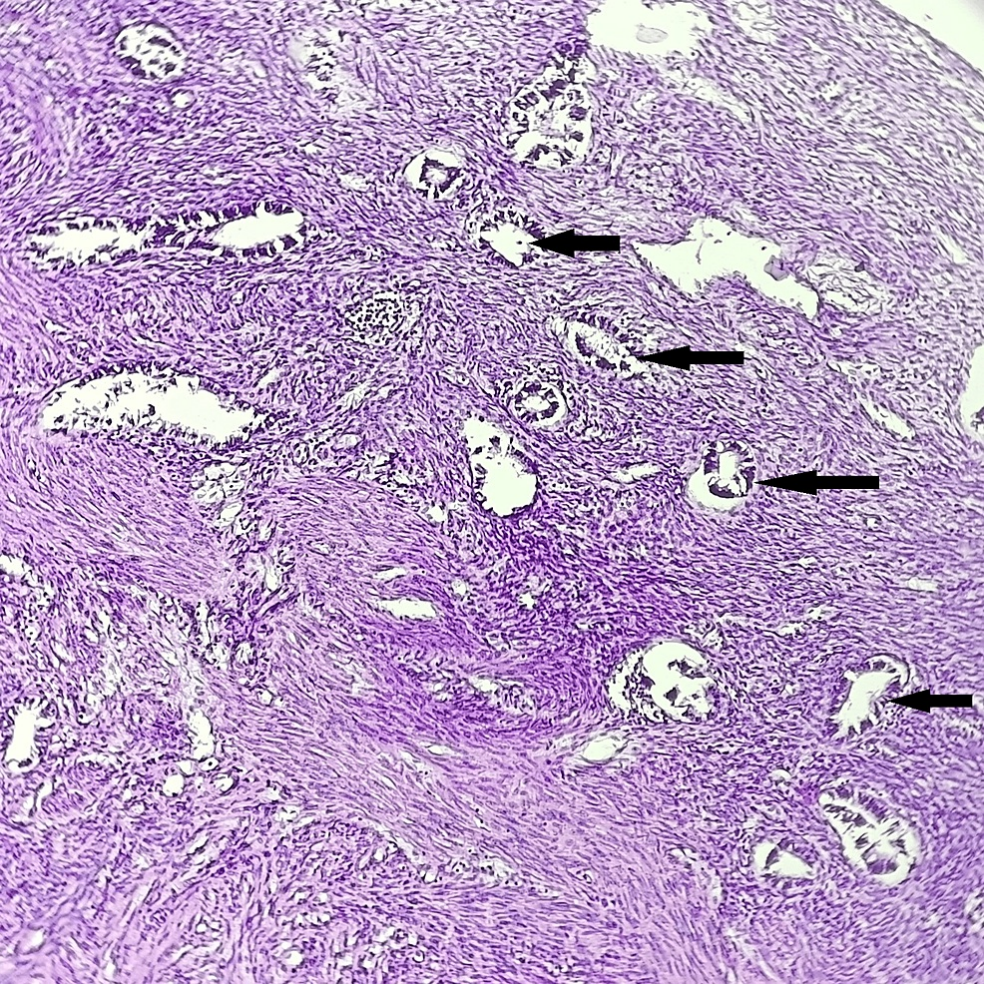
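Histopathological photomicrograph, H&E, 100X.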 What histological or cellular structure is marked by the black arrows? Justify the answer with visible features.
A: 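The arrows point to small round to tubular gland profiles with open lumens. The gland profiles lie scattered in a densely cellular stroma of spindle-shaped cells. So: endometrial glands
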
